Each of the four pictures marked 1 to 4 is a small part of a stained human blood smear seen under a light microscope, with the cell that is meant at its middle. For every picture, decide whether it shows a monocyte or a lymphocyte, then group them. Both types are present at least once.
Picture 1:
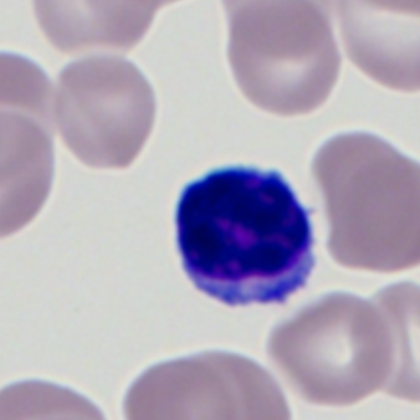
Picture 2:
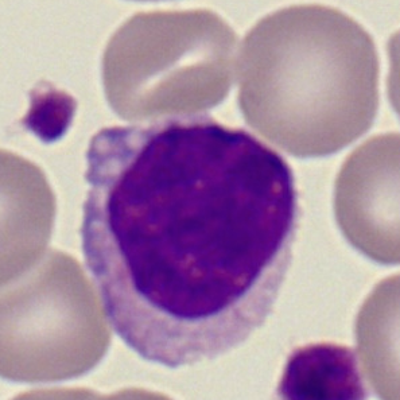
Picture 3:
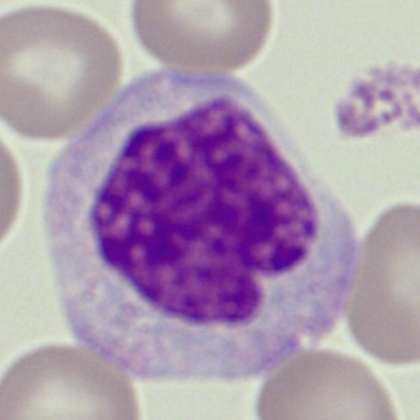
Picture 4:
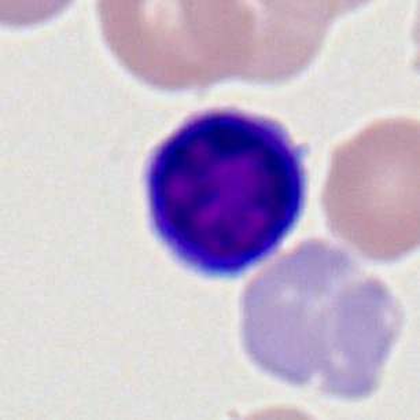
1: lymphocyte
2: lymphocyte
3: monocyte
4: lymphocyte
